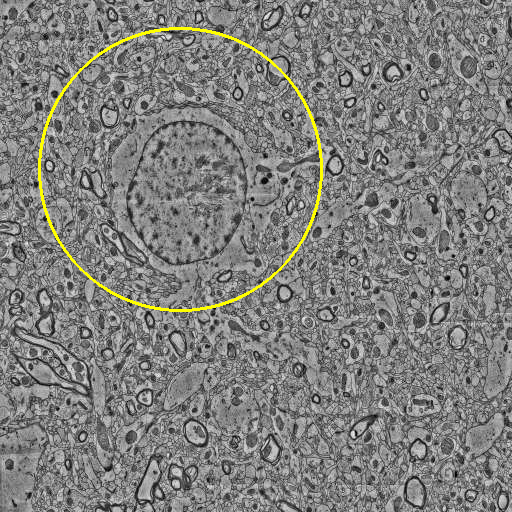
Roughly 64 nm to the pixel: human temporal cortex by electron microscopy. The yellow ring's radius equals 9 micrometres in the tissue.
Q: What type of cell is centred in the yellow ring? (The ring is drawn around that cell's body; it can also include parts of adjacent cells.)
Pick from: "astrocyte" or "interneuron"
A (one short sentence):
The yellow ring is centred on an astrocyte.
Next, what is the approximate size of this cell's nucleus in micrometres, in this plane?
The nucleus is approximately 9 micrometers long by 7 micrometers wide in this plane.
